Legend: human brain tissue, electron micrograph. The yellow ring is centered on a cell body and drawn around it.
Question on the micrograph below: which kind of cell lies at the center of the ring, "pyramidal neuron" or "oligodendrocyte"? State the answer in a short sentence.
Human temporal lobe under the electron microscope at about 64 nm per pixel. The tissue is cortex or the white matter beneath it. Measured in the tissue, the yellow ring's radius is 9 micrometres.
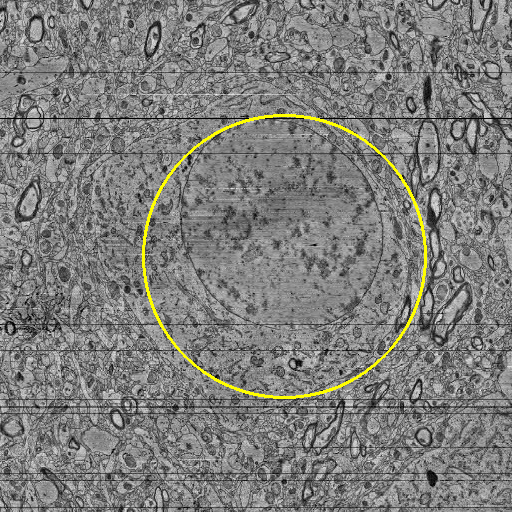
At the center of the ring lies a pyramidal neuron.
